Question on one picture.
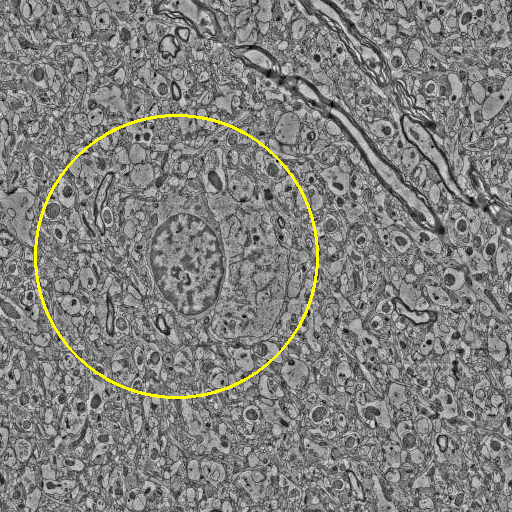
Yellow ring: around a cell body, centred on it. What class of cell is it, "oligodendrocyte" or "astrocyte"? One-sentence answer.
This is an oligodendrocyte, the cell the ring is centred on.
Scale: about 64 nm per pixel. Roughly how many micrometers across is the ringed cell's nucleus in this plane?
In this plane the nucleus measures roughly 7 by 5 micrometers.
